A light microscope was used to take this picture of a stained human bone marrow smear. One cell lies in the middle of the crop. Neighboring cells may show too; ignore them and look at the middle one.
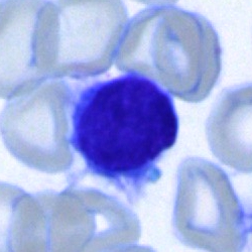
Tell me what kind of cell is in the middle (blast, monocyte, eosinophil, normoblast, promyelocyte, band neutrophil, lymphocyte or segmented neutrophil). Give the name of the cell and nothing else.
lymphocyte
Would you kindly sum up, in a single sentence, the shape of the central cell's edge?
The margin of this cell is irregular, showing raggedness or projections instead of smoothness.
